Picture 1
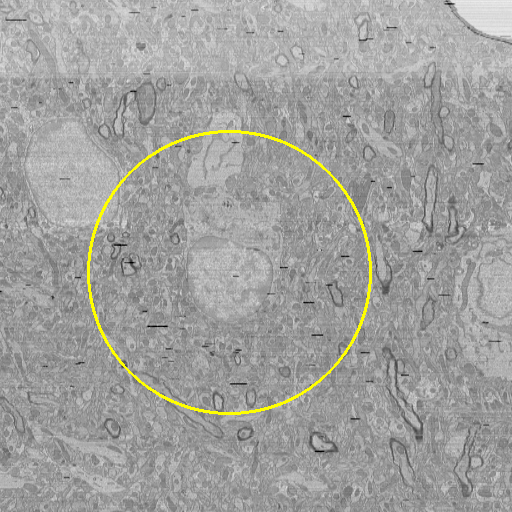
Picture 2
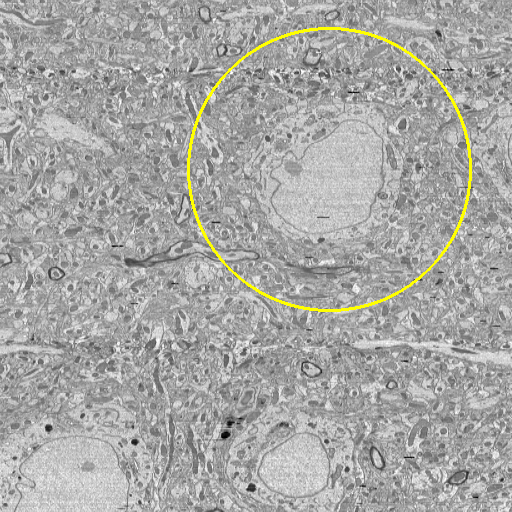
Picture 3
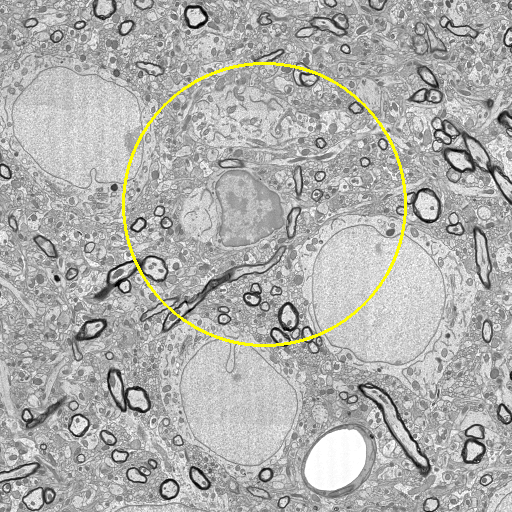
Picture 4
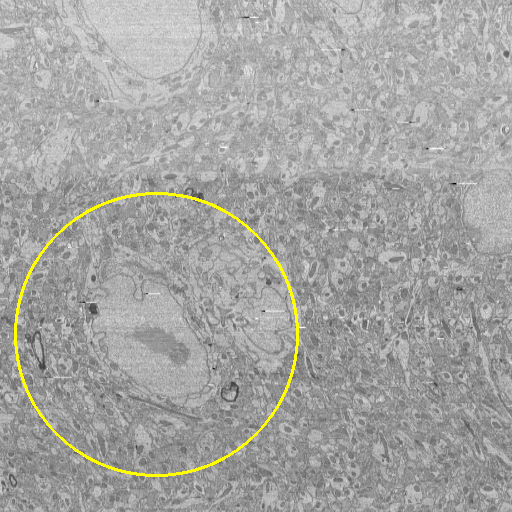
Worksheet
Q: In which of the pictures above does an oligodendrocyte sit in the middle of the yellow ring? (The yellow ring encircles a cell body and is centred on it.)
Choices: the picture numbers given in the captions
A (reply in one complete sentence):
In picture 1, the cell sitting at the centre of the ring is the match.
